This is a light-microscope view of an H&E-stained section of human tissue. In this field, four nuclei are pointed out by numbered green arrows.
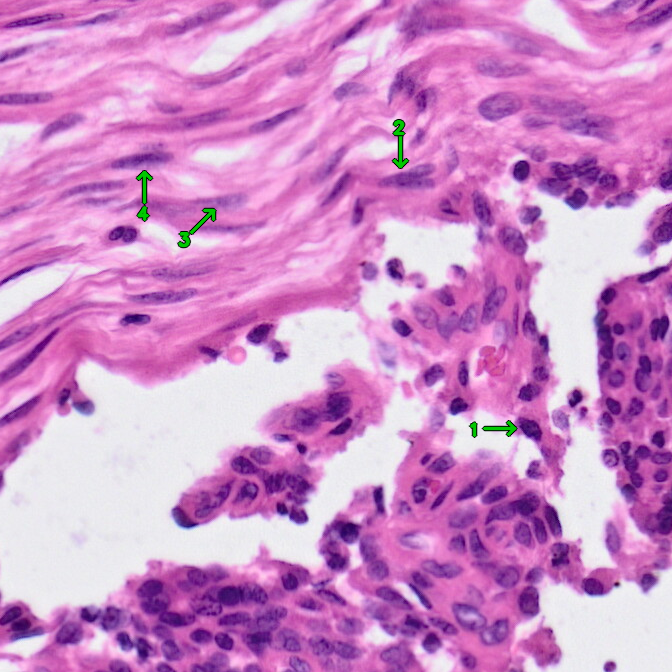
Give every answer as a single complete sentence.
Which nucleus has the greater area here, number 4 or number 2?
It is nucleus 4, which covers about 2 times the area of nucleus 2.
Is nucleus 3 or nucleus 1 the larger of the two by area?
Nucleus 3 is larger, with an area about 1.5 times that of nucleus 1.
